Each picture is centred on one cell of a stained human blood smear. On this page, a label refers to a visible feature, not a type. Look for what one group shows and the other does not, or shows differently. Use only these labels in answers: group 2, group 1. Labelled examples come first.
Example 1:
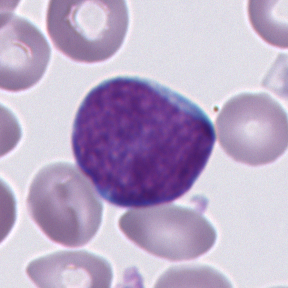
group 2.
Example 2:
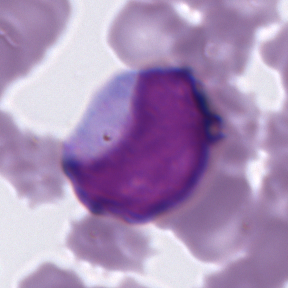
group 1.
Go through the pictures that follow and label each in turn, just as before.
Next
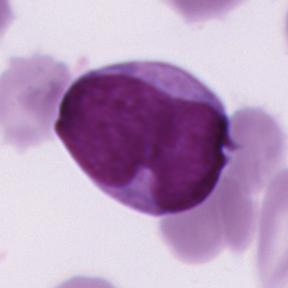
group 1.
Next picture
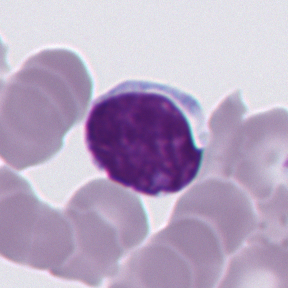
group 2.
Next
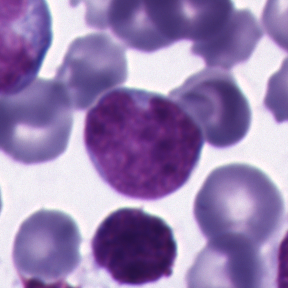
group 2.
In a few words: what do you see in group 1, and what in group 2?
In group 1: ragged outline or projections. In group 2: smooth outline.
